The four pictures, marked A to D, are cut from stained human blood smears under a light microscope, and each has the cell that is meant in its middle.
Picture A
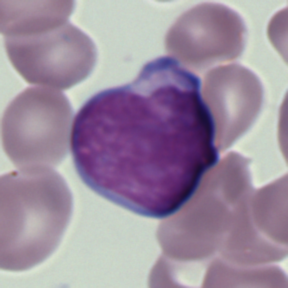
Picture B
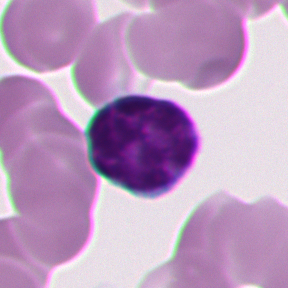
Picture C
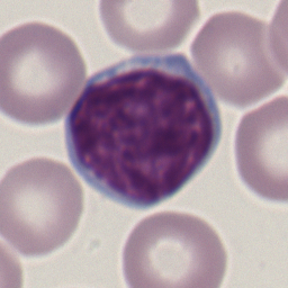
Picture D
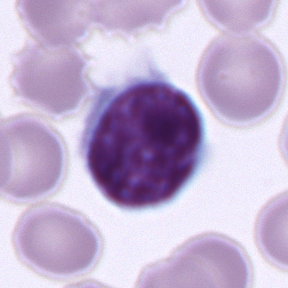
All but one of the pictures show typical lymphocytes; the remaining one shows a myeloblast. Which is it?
A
